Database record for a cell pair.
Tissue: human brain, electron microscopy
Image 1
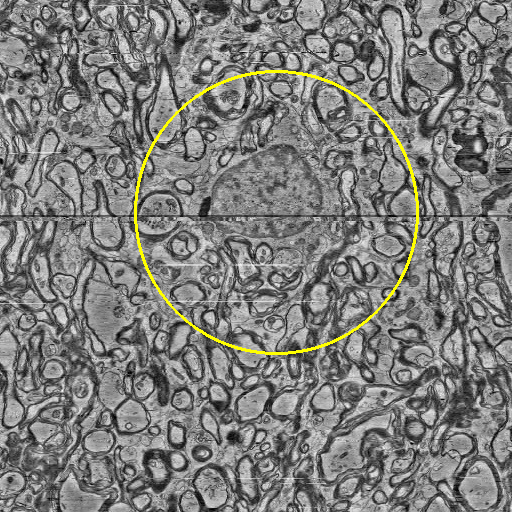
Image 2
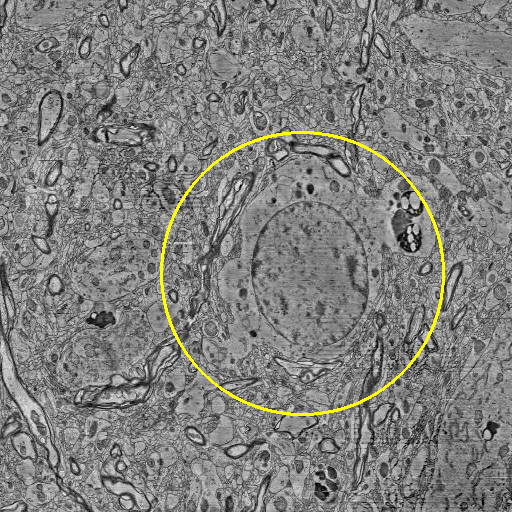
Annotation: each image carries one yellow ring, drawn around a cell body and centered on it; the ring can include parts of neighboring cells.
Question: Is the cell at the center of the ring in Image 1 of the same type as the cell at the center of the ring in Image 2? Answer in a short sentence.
No, the cells are of two types.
